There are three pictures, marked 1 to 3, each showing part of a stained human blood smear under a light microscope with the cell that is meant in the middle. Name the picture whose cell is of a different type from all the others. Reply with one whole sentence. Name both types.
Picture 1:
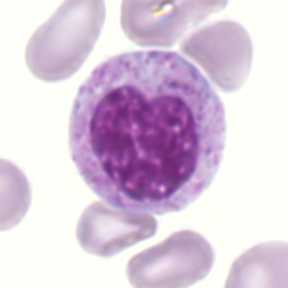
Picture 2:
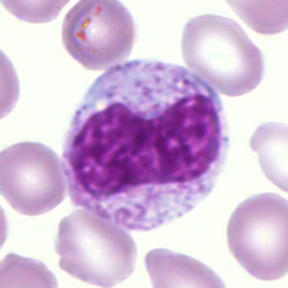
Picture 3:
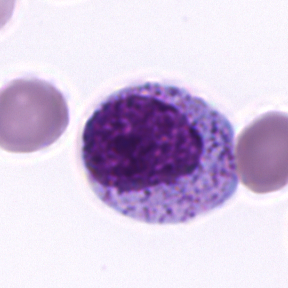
The different one is picture 2; it shows a metamyelocyte, whereas all the others show myelocytes.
